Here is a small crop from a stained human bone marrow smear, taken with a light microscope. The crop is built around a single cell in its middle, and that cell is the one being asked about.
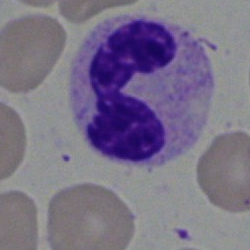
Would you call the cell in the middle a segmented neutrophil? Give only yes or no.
no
